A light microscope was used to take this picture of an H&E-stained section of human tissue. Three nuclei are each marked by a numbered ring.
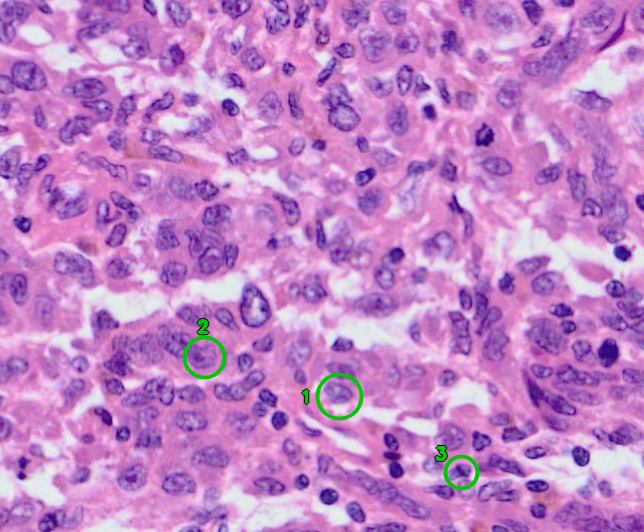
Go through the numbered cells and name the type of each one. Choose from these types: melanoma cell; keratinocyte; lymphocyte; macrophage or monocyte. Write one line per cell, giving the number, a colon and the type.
1: melanoma cell
2: melanoma cell
3: lymphocyte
